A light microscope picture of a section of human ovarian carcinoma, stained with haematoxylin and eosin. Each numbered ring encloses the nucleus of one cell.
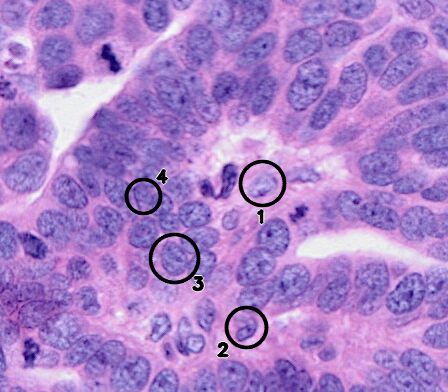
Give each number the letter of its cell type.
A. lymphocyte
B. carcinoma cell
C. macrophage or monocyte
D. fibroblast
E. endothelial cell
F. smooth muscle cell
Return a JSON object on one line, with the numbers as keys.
{"1": "D", "2": "C", "3": "B", "4": "B"}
